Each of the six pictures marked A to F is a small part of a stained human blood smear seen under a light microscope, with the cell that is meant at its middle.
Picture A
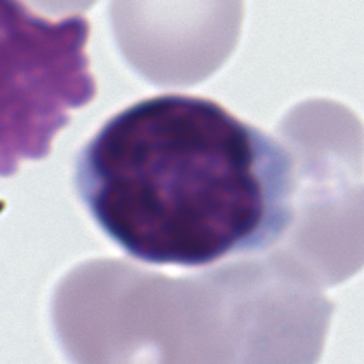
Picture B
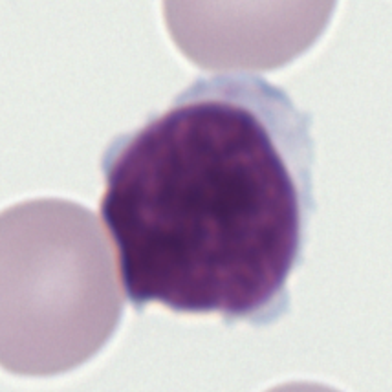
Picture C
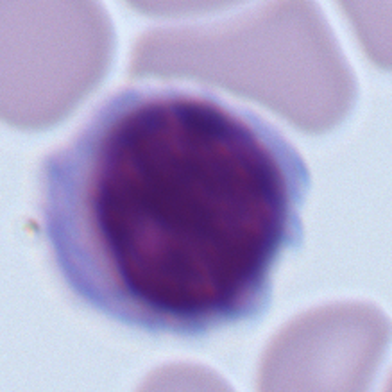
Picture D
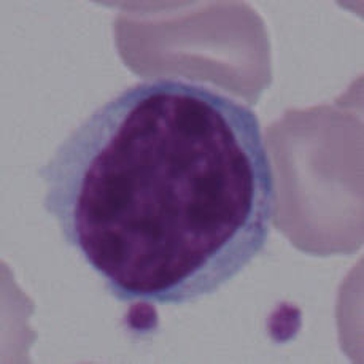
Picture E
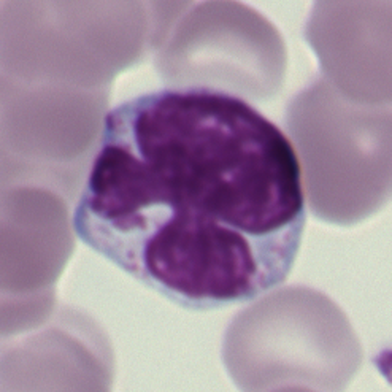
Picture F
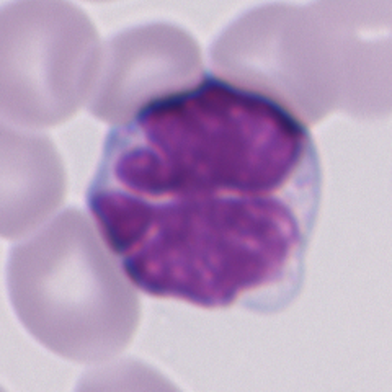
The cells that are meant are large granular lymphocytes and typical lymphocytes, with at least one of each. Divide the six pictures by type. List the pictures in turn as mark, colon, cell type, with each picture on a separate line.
A: typical lymphocyte
B: typical lymphocyte
C: typical lymphocyte
D: typical lymphocyte
E: large granular lymphocyte
F: large granular lymphocyte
